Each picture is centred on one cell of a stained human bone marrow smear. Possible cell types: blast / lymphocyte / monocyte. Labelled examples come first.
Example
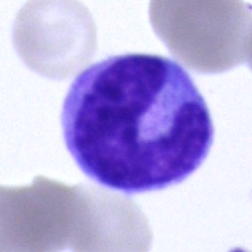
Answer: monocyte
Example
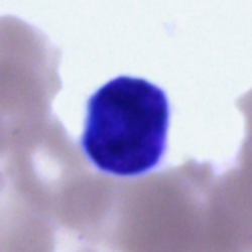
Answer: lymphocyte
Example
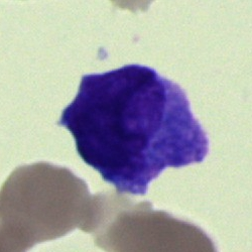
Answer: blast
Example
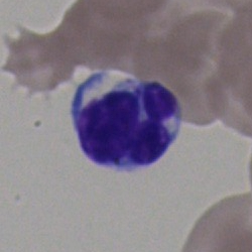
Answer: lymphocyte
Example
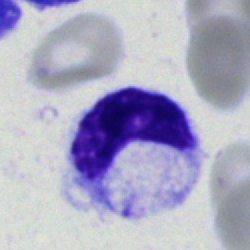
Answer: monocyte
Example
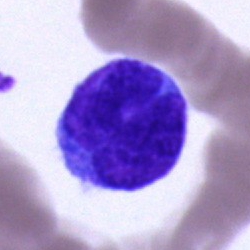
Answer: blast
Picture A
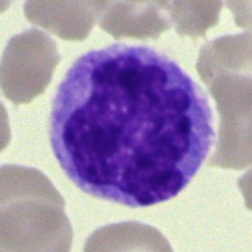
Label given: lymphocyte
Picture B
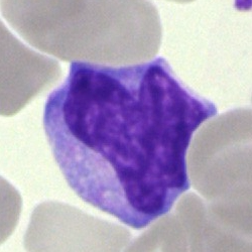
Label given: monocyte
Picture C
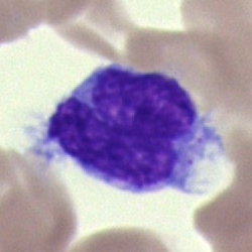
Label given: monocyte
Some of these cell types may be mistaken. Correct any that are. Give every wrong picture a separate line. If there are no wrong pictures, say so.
Wrong: A (lymphocyte); correct: monocyte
